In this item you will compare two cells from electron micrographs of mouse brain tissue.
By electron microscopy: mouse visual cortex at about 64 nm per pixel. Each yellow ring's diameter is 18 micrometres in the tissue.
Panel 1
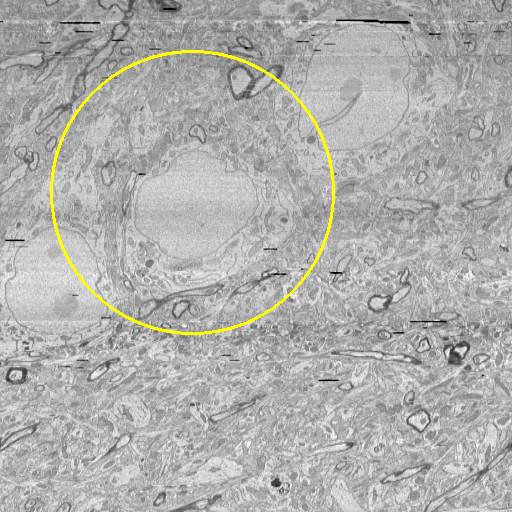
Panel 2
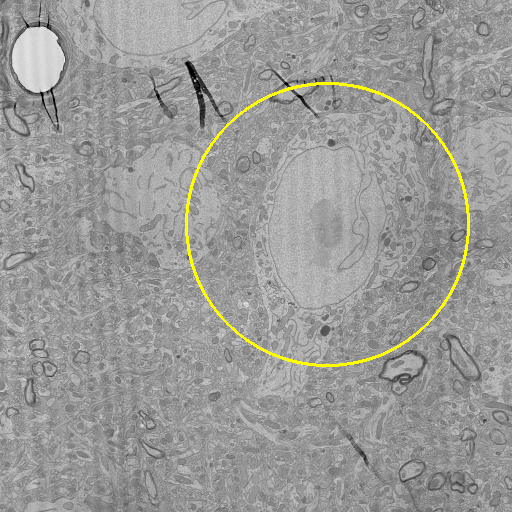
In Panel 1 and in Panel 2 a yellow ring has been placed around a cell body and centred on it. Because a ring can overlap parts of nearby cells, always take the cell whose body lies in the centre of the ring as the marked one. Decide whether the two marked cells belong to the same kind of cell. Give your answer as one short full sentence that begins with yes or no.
Yes, the two marked cells belong to the same kind of cell.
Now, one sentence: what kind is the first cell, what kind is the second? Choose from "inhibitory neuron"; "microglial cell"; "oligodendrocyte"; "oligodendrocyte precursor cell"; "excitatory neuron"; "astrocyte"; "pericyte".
In each of the two pictures, the ringed cell is an inhibitory neuron.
